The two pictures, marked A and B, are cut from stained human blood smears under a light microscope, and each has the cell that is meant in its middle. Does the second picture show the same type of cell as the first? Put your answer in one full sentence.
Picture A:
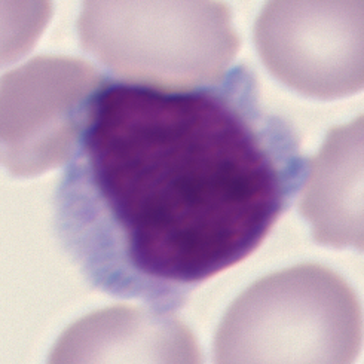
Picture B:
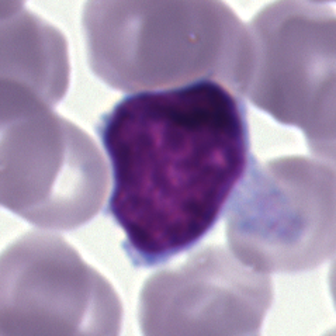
Yes, the two pictures both show typical lymphocytes.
